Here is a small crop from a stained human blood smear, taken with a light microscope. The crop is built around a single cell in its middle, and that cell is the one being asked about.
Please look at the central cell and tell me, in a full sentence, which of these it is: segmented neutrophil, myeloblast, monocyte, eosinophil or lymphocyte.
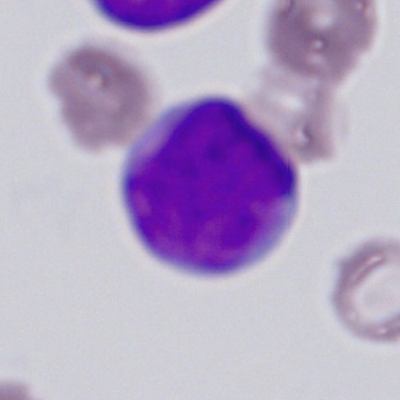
The cell around which this crop is centred is a myeloblast.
